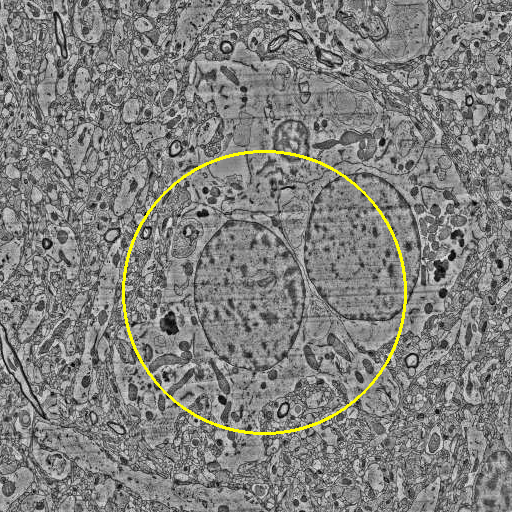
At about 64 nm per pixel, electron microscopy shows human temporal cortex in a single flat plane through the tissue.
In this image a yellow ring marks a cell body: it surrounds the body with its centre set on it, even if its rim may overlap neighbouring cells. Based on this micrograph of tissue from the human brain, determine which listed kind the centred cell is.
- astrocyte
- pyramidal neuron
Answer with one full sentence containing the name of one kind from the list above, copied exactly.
It is an astrocyte whose body the yellow ring encloses at its centre.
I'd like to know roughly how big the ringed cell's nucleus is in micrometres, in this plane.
In this plane, about 10 micrometres in length and 7 in width.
